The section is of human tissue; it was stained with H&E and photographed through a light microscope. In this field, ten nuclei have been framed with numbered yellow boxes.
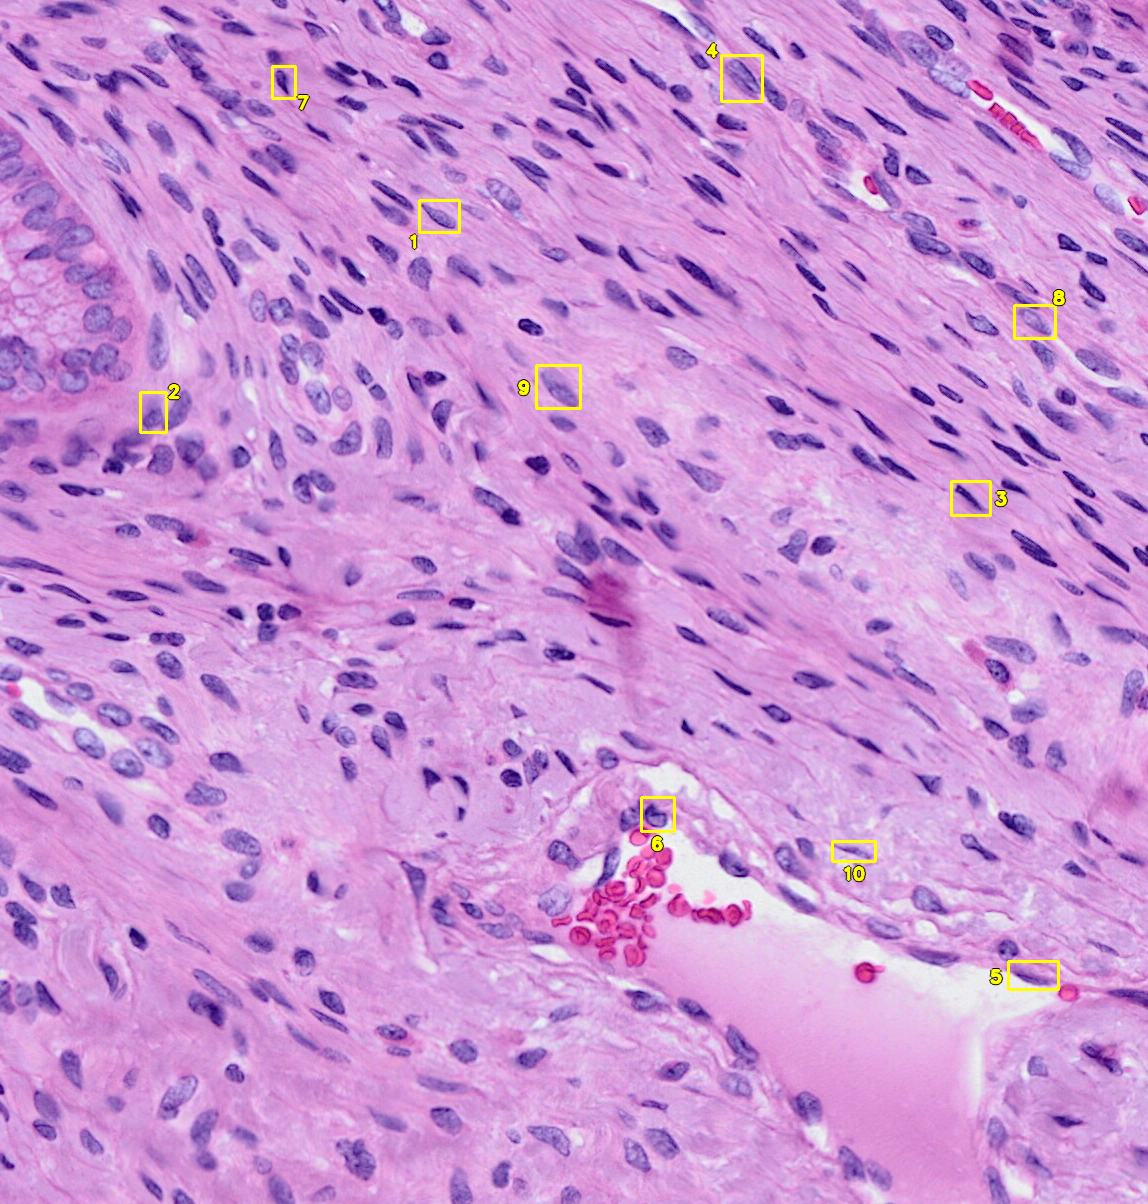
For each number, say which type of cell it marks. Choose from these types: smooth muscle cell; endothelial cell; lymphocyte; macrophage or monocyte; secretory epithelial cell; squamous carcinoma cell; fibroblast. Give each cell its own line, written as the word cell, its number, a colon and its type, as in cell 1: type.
cell 1: fibroblast
cell 2: fibroblast
cell 3: fibroblast
cell 4: endothelial cell
cell 5: endothelial cell
cell 6: endothelial cell
cell 7: fibroblast
cell 8: endothelial cell
cell 9: fibroblast
cell 10: fibroblast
